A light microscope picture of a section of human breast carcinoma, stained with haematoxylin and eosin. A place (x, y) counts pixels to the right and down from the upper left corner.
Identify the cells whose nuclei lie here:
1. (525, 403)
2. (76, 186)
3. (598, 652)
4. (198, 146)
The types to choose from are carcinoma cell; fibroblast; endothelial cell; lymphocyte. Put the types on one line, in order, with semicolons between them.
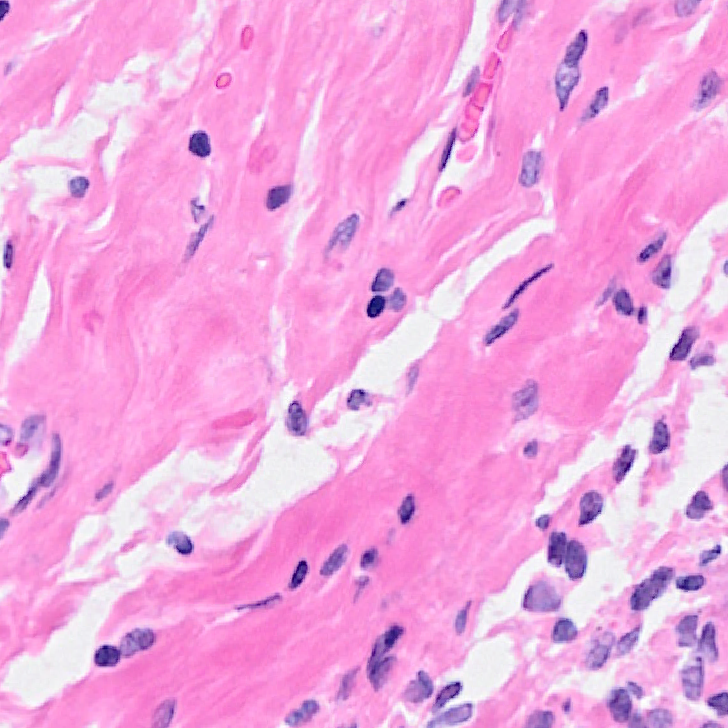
fibroblast; lymphocyte; carcinoma cell; lymphocyte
